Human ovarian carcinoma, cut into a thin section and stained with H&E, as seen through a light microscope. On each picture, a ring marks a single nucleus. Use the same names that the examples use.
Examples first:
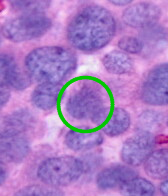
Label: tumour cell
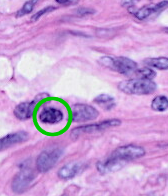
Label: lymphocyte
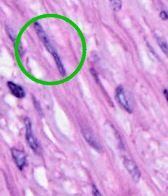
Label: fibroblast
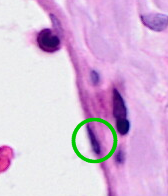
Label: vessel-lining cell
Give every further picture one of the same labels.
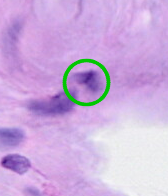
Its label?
fibroblast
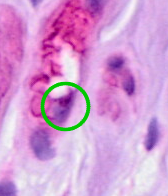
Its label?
vessel-lining cell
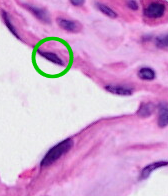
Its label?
vessel-lining cell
